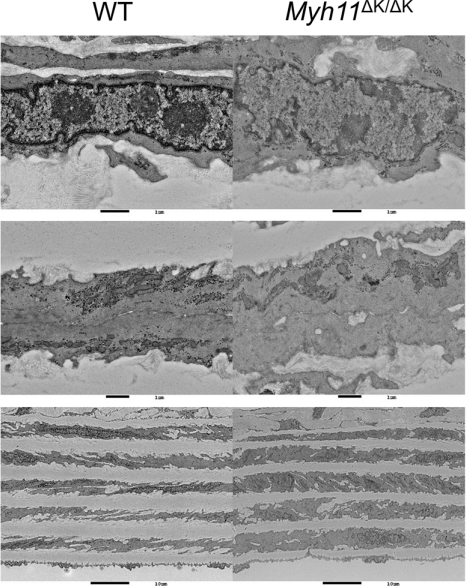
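Transmission electron micrographs of the aortic wall show smooth muscle cells at three magnifications, with two columns side by side. In the top row a single elongated nucleus fills each field. The left nucleus has a dark rim of condensed chromatin along its envelope, while the right one is paler with diffusely granular content and a faint rim. In the middle row two neighbouring elongated cells lie horizontally against each other, with pale extracellular matrix above and below them. In the bottom row, at low magnification, the wall is seen as regular parallel layers of grey, jagged-edged bands alternating with pale bands.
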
